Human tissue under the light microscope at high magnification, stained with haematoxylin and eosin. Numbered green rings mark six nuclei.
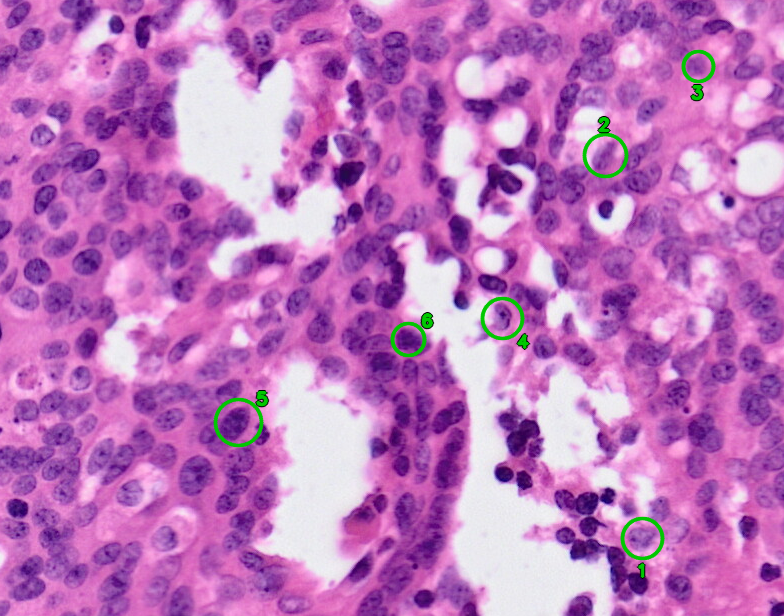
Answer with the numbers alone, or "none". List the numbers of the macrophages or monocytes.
1, 4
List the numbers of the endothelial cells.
none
